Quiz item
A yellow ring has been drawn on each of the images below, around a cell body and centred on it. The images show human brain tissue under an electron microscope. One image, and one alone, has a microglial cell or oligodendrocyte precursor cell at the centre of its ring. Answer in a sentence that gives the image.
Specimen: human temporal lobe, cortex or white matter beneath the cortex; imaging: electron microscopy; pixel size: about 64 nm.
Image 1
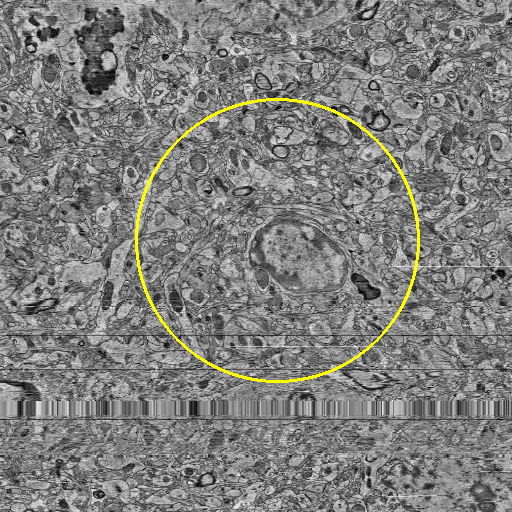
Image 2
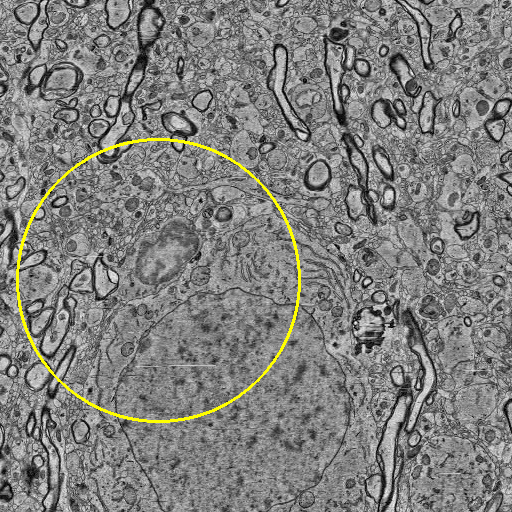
Image 1 shows it at the centre of the ring.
